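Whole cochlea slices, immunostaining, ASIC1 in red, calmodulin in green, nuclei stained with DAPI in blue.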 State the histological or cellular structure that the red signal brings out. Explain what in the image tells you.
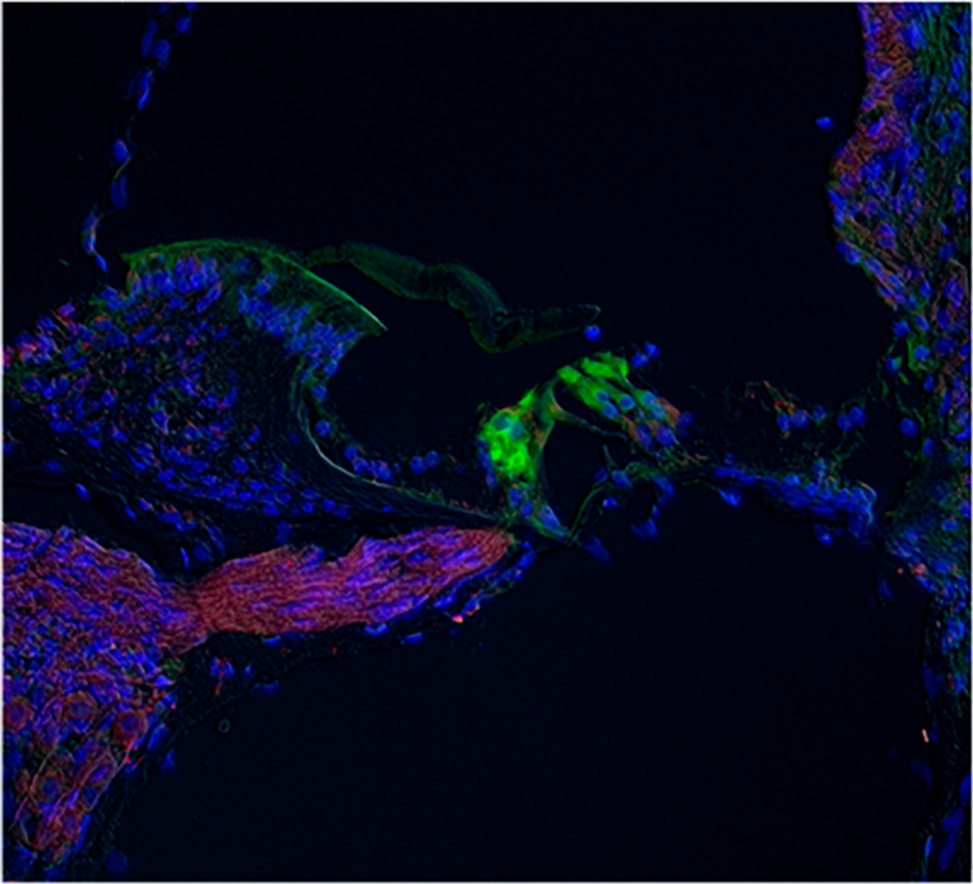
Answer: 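A red band of parallel fine fibres runs from the lower left toward the centre. The red band tapers as it nears the cluster of green cells. At the lower left the red region holds rounded cell bodies. On this evidence: fibers running from spiral ganglion.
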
